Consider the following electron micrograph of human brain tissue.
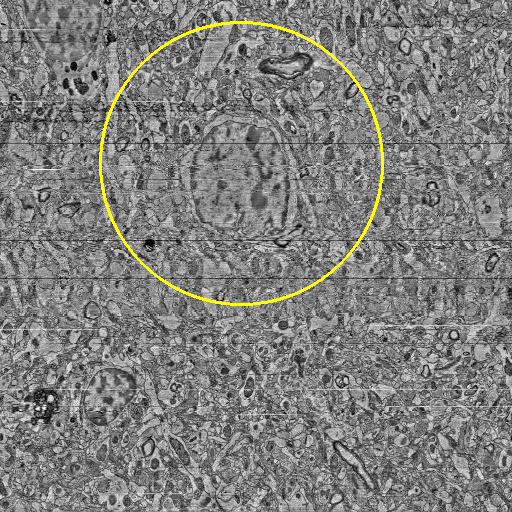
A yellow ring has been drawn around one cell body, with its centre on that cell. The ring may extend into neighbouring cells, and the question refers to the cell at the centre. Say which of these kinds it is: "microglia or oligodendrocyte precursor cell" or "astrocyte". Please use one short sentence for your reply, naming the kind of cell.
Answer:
The centre of the ring falls on a microglial cell or oligodendrocyte precursor cell.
